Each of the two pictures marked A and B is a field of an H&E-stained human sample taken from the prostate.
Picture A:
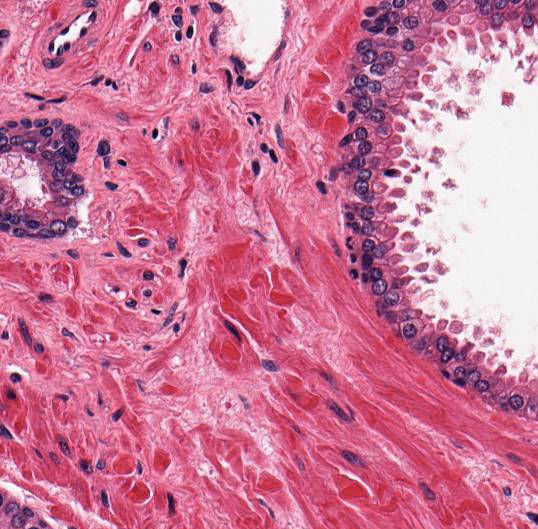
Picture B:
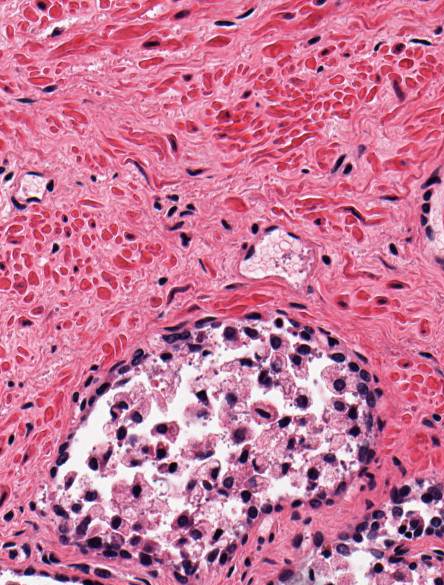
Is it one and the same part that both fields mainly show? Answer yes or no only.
yes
